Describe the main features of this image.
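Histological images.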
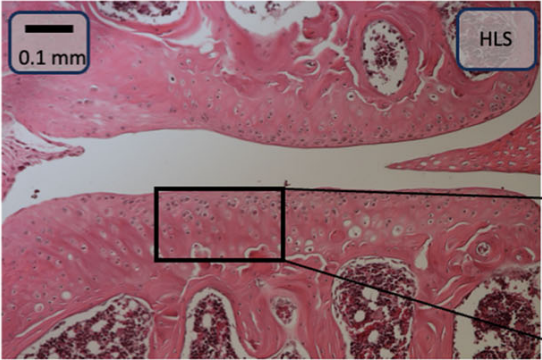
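Two layers of cartilage face each other across a clear, narrow joint space, each populated by chondrocytes lying in pale lacunae within a pink matrix. Near the free surface the chondrocytes are small and flattened, while deeper down they become larger and rounder, several sitting in small groups. Beneath the cartilage, irregular spaces lined by pink trabeculae are packed with dark red blood and marrow cells.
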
